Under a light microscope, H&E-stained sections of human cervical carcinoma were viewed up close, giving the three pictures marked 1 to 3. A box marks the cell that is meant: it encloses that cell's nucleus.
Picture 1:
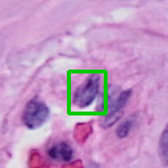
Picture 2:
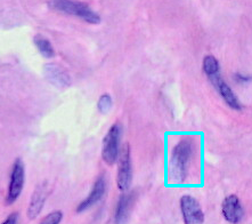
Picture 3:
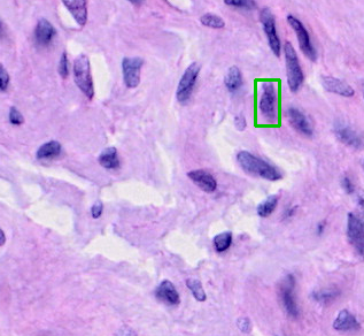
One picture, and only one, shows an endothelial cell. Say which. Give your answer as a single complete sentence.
The cell in picture 1 is the endothelial cell.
